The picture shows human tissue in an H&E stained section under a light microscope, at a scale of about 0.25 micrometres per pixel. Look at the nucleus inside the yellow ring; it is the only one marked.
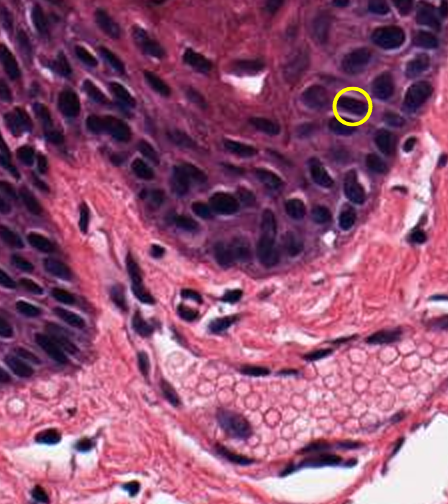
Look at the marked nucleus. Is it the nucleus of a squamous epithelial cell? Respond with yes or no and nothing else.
yes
